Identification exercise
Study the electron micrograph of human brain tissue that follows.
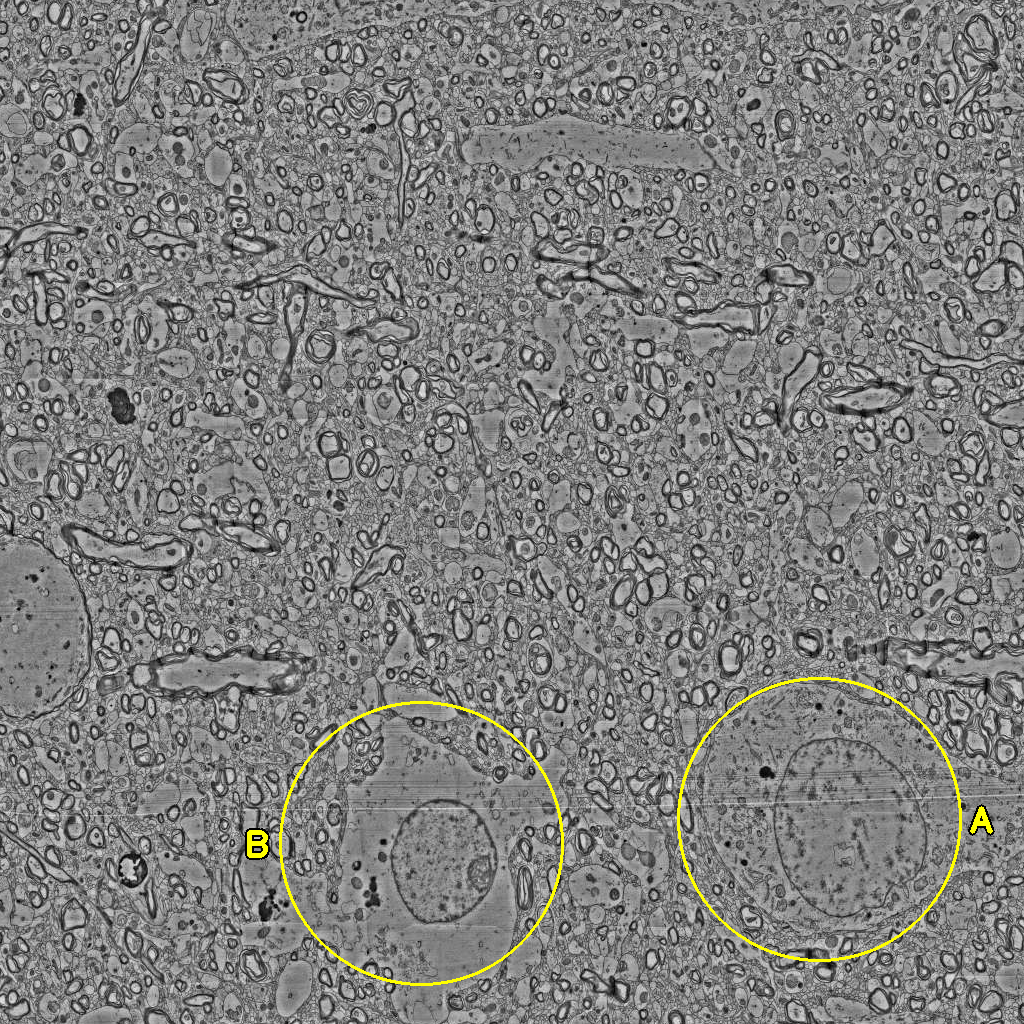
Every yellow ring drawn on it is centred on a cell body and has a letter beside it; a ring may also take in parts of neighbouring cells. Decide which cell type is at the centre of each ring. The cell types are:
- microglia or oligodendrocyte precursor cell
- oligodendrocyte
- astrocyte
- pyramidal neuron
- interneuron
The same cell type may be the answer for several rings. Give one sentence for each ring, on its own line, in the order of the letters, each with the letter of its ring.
Ring A encircles a pyramidal neuron.
Ring B encircles an astrocyte.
